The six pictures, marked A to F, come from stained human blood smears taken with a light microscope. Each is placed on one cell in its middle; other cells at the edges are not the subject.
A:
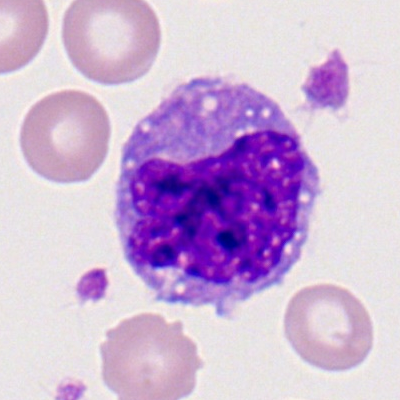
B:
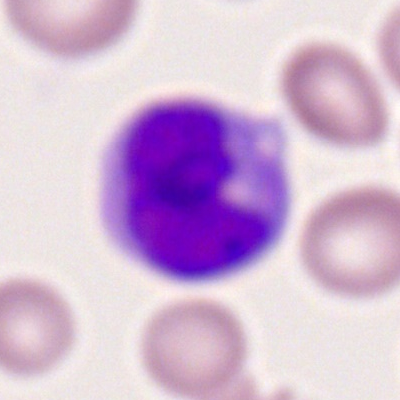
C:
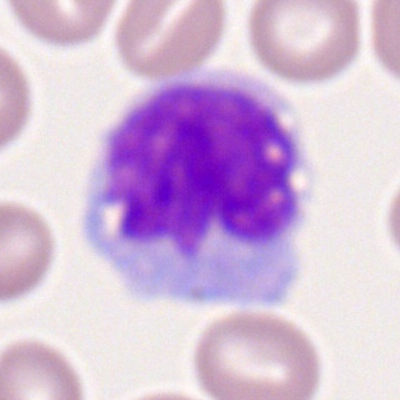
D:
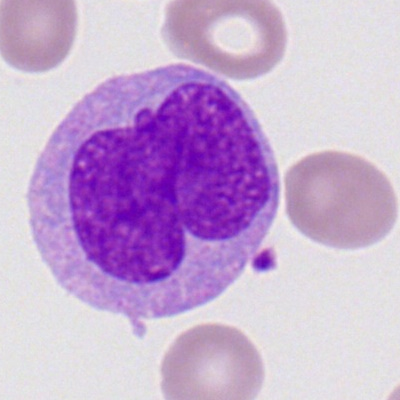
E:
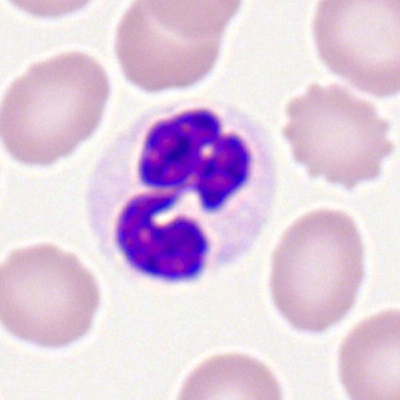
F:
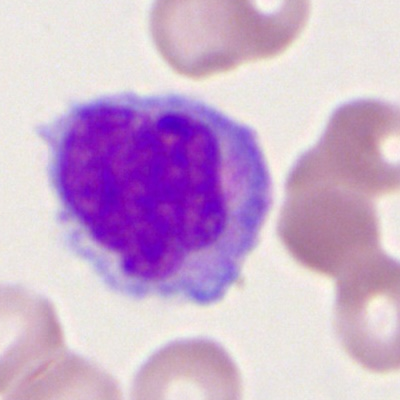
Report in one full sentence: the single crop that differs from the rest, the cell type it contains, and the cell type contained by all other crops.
Crop E breaks the pattern as a segmented neutrophil; the other crops all contain monocytes.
